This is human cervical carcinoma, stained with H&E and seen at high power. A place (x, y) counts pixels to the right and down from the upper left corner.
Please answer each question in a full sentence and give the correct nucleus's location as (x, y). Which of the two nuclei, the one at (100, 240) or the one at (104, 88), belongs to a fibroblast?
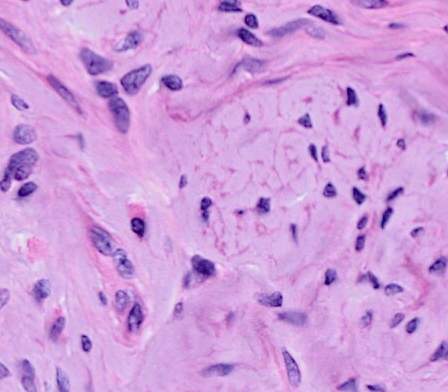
The nucleus at (104, 88) is part of a fibroblast, while the other is not.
